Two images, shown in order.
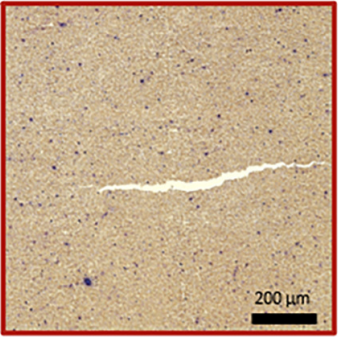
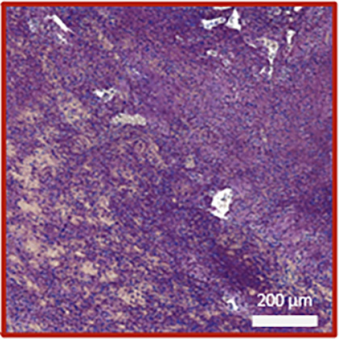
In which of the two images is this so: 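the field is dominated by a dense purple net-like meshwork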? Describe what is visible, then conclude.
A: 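The second image. First image: an even yellow-tan field with only sparse small blue dots. Second image: a dense purple-blue meshwork fills nearly the whole field.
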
